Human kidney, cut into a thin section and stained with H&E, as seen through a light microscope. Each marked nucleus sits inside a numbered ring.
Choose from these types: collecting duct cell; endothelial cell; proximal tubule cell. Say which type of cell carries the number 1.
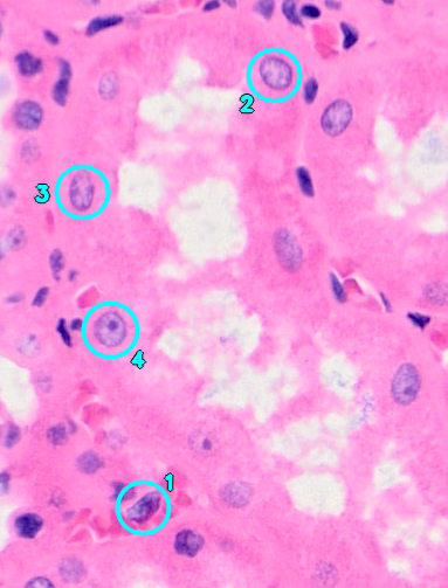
endothelial cell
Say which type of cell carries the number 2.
proximal tubule cell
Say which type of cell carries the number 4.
proximal tubule cell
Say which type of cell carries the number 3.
proximal tubule cell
